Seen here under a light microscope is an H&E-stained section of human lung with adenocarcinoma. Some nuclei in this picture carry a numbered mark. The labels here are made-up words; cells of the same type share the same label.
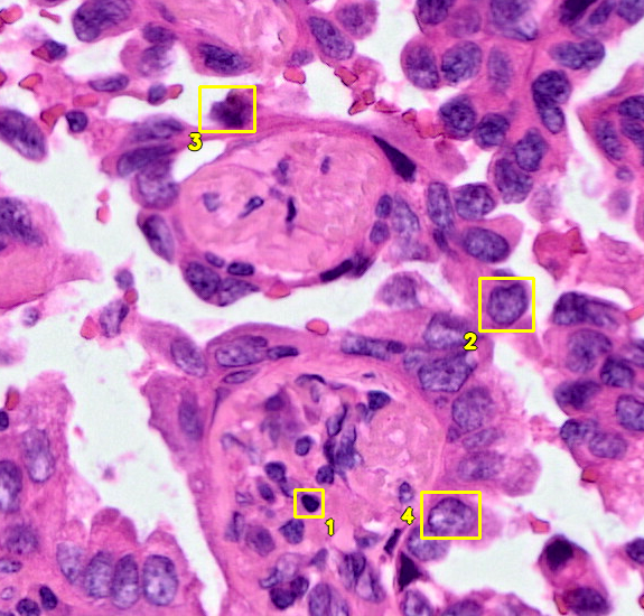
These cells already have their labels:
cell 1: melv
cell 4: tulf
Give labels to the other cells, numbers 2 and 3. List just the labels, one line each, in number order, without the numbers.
tulf
tulf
